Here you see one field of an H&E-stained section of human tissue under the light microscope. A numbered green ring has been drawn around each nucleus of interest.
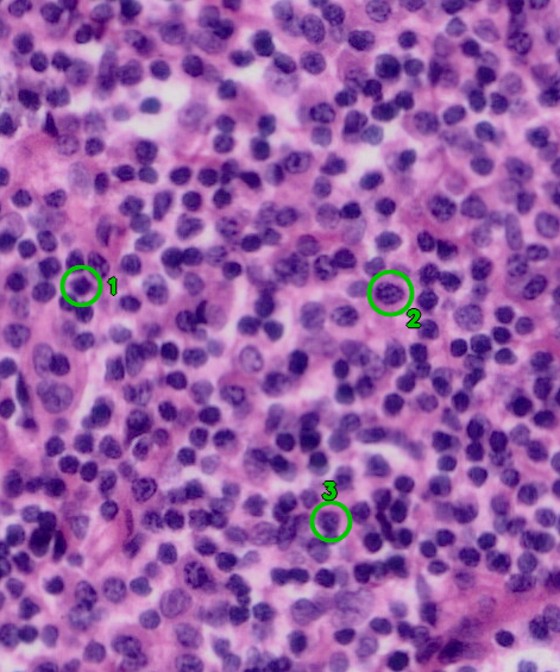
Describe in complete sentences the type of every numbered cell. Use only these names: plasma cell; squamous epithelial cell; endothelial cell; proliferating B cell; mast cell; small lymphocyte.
Cells 1 and 3 are small lymphocytes. Cell 2 is a plasma cell.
